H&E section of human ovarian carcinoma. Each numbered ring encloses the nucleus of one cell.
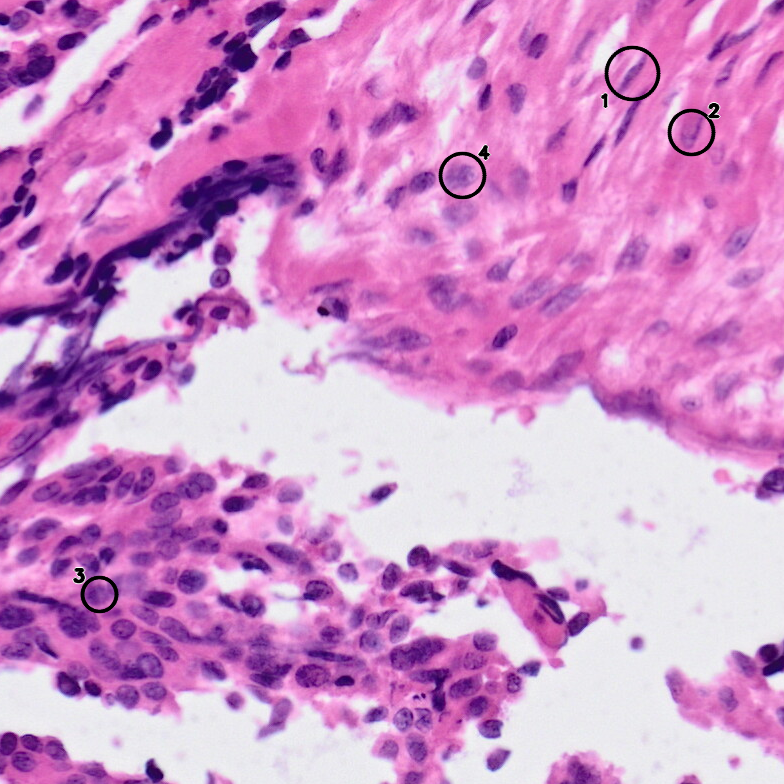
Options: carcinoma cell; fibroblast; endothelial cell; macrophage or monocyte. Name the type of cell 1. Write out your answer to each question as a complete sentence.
Nucleus 1 in this section belongs to a fibroblast.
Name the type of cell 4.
The nucleus with number 4 is that of a fibroblast.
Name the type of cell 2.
The nucleus labelled 2 belongs to a fibroblast.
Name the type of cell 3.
The cell assigned the number 3 is a carcinoma cell.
